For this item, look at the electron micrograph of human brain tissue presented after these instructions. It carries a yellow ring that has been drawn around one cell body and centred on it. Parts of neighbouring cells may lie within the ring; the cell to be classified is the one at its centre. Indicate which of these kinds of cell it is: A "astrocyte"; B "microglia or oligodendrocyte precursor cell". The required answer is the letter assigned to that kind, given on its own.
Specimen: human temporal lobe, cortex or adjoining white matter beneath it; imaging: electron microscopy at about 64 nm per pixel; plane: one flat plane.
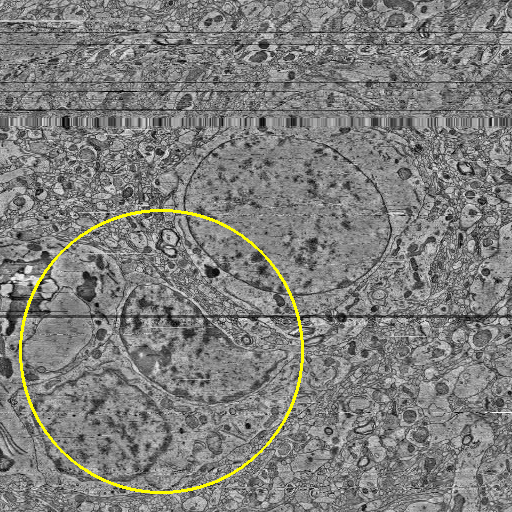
B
